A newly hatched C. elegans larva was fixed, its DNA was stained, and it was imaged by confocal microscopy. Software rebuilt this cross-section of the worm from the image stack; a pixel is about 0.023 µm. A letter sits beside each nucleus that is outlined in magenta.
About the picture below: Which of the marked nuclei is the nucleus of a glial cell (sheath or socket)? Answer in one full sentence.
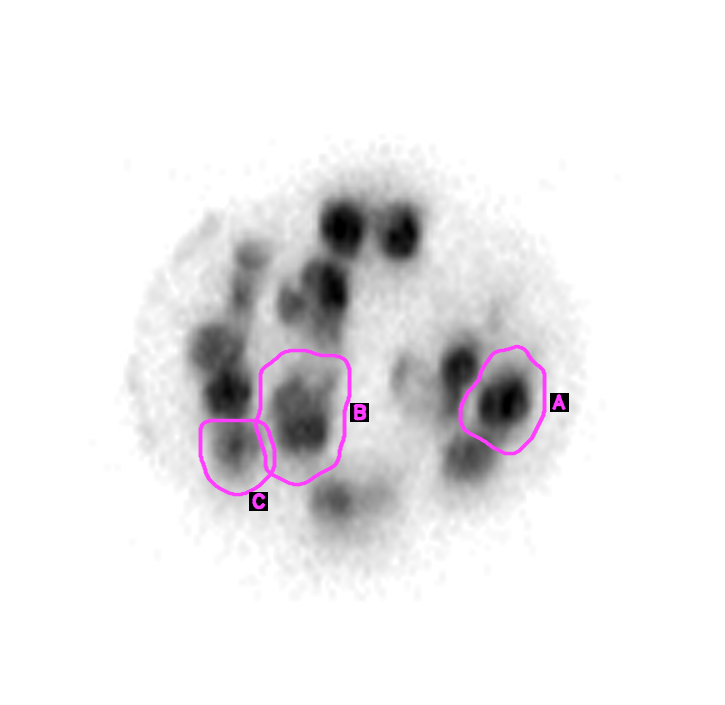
A is the nucleus of a glial cell (sheath or socket).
